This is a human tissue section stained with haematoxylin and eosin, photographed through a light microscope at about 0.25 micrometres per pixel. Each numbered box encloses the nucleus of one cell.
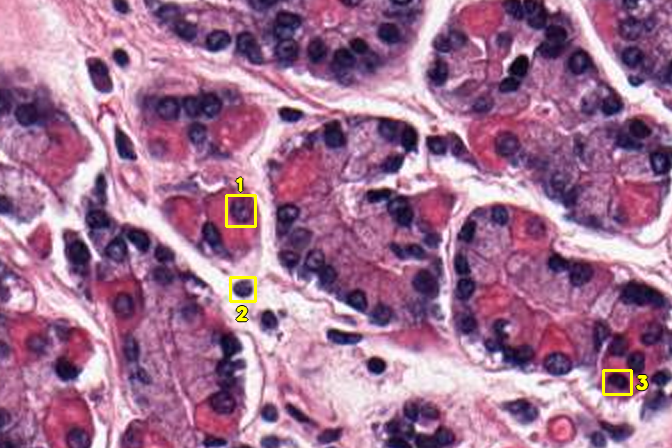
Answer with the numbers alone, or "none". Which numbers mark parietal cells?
1, 3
